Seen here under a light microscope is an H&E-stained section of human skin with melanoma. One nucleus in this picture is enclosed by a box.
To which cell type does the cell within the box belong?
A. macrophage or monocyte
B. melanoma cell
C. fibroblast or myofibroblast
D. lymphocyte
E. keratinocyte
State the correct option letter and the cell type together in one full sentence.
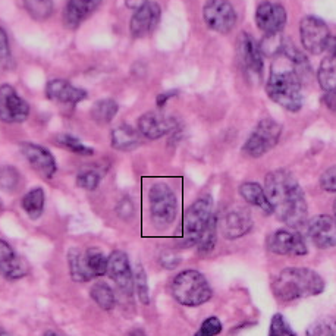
On this slide, the cell within the box is a melanoma cell, so option B is right.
